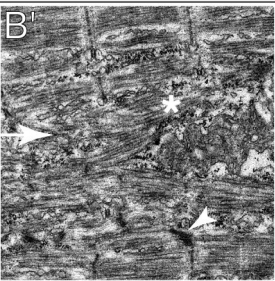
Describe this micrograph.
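Muscle fibre cytoplasm seen by transmission electron microscopy, showing disorganised sarcomeres. Only in places do dark transverse Z-lines with some banding remain, and the myofibrils no longer form straight parallel arrays. Small compact electron-dense bodies, darker than the surrounding filaments, lie among the myofibrils, some near the remnants of Z-lines. The overall pattern is patchy and irregular, quite unlike the regular repeating striation of normal skeletal muscle.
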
